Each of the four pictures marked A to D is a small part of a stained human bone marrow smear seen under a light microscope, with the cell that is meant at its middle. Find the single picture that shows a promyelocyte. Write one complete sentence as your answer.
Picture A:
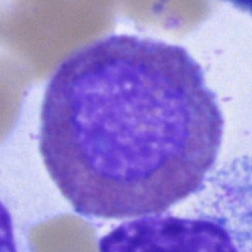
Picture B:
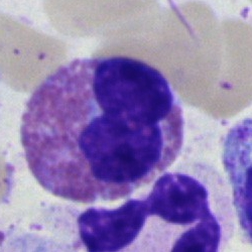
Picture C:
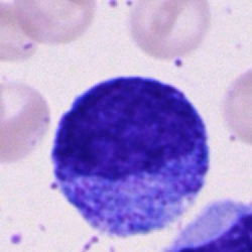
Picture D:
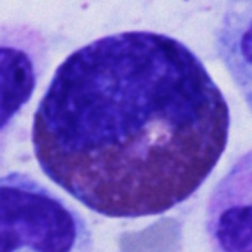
It is picture C that shows the promyelocyte.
